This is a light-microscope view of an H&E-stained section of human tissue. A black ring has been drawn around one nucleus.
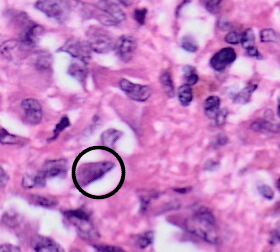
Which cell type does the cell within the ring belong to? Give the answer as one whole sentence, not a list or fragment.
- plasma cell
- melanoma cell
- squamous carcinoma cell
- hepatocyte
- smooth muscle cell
At the level of cell identity, the cell within the ring is a melanoma cell.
